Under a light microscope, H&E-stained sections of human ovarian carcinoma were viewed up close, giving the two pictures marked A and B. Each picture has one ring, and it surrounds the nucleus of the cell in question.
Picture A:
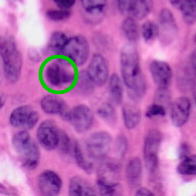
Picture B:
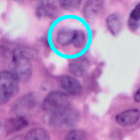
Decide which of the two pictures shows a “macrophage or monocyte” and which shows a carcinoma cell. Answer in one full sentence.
Picture A is of a carcinoma cell, and picture B is of a “macrophage or monocyte”.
